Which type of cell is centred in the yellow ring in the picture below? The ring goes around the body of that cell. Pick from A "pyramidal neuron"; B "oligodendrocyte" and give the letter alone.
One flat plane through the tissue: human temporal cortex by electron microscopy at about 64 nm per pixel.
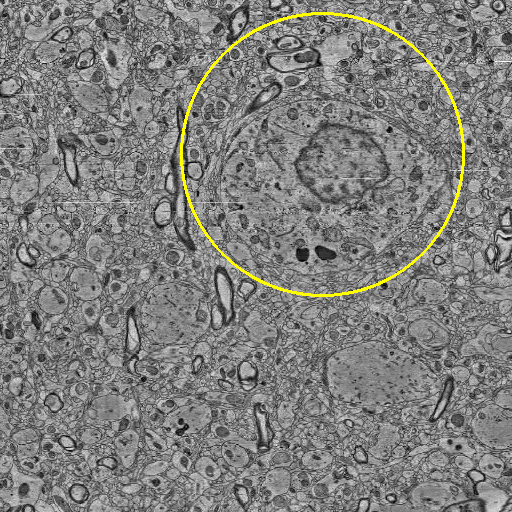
A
